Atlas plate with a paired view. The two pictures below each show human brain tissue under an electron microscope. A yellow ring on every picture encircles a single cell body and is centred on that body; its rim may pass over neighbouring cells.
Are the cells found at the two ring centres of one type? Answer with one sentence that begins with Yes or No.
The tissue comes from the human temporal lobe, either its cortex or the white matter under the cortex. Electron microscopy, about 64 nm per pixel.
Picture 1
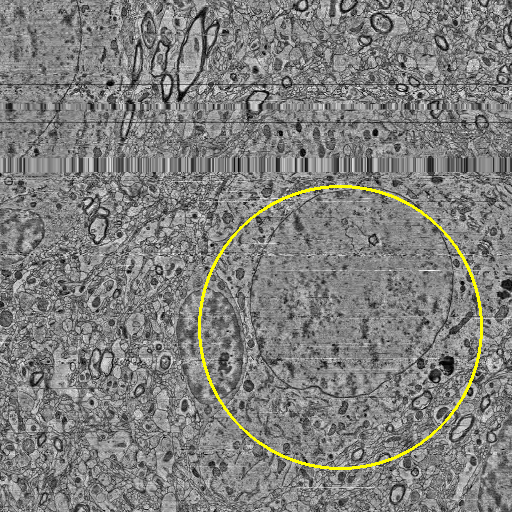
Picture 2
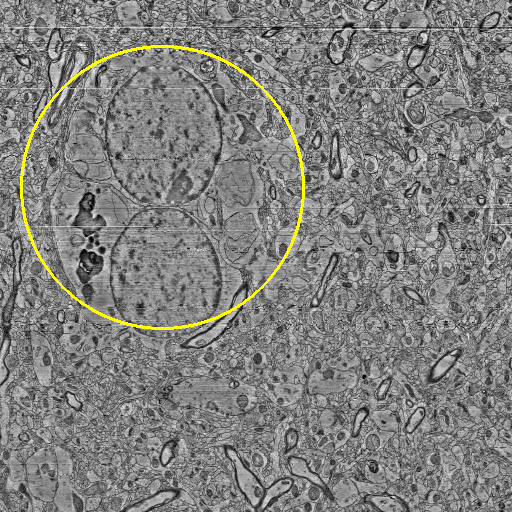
No, the two cells lying at the centres of the rings are of two types.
